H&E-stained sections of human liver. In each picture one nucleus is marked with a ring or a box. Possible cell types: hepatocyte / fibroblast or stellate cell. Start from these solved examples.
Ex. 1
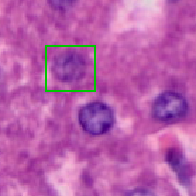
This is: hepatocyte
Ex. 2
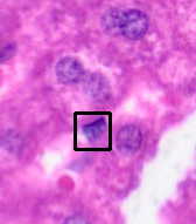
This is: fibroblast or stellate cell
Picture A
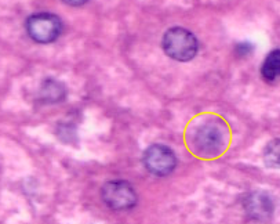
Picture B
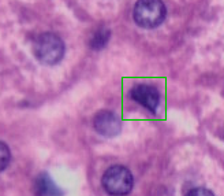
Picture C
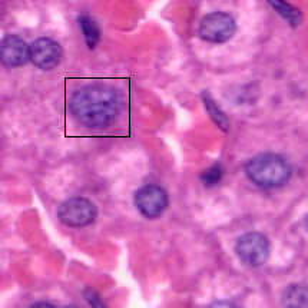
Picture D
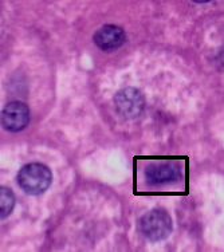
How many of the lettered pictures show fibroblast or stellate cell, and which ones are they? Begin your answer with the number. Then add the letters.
2, namely B, D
